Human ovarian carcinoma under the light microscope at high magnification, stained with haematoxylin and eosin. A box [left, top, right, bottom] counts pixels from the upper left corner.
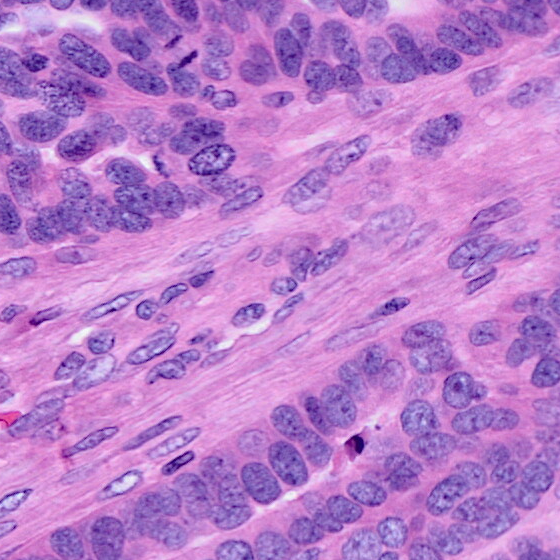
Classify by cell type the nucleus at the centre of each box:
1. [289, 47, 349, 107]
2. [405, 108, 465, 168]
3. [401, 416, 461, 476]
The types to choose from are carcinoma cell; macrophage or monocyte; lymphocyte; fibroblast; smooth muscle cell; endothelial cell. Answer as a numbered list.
1. carcinoma cell
2. fibroblast
3. carcinoma cell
